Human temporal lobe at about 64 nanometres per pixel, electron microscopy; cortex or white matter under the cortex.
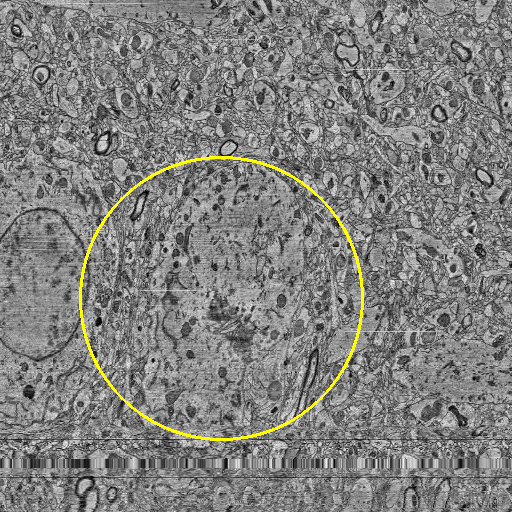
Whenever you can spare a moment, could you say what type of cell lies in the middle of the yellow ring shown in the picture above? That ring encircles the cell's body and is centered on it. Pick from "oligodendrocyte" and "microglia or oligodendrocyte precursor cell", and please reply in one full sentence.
The cell whose body sits at the middle of the yellow ring is a microglial cell or oligodendrocyte precursor cell.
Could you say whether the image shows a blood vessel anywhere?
No, there is no blood vessel in the image.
